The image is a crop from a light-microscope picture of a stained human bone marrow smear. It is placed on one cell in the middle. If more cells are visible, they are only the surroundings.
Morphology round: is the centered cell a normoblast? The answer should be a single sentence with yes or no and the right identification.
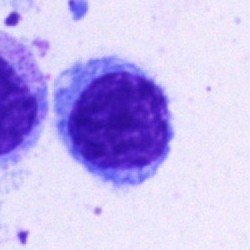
No, that is not a normoblast; the middle cell is a lymphocyte.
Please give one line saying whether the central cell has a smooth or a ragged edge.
The outline of this cell is not smooth but ragged or drawn out into projections.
